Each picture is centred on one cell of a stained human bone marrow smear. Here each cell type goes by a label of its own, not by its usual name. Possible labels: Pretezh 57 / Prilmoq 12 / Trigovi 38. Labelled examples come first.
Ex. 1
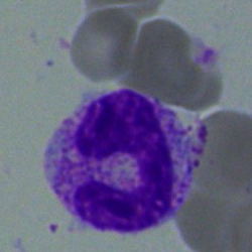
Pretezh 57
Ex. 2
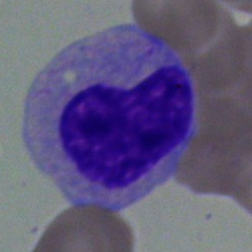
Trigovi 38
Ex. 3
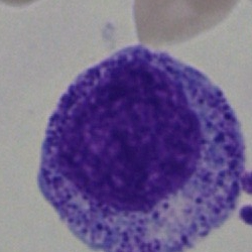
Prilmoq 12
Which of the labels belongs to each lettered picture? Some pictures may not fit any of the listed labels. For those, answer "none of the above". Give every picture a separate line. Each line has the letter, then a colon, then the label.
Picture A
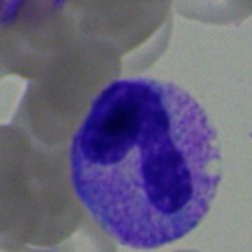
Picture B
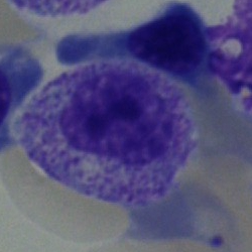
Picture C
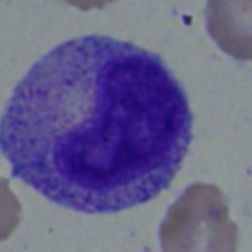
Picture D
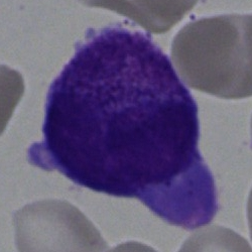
A: Pretezh 57
B: Prilmoq 12
C: Trigovi 38
D: none of the above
